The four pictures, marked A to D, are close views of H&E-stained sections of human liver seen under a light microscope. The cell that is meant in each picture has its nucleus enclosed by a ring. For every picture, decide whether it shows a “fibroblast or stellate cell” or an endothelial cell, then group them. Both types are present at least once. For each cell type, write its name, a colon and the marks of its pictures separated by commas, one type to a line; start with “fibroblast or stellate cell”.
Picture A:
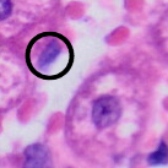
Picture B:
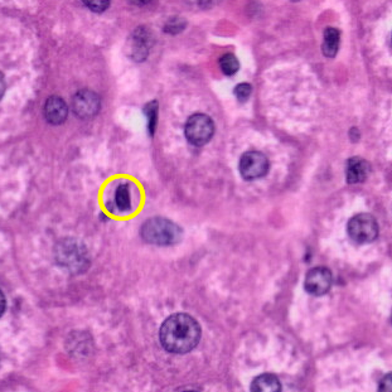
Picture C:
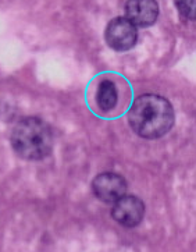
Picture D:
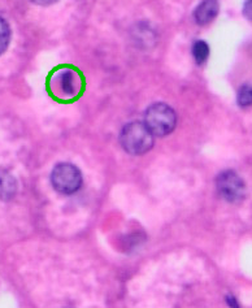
fibroblast or stellate cell: B, C
endothelial cell: A, D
